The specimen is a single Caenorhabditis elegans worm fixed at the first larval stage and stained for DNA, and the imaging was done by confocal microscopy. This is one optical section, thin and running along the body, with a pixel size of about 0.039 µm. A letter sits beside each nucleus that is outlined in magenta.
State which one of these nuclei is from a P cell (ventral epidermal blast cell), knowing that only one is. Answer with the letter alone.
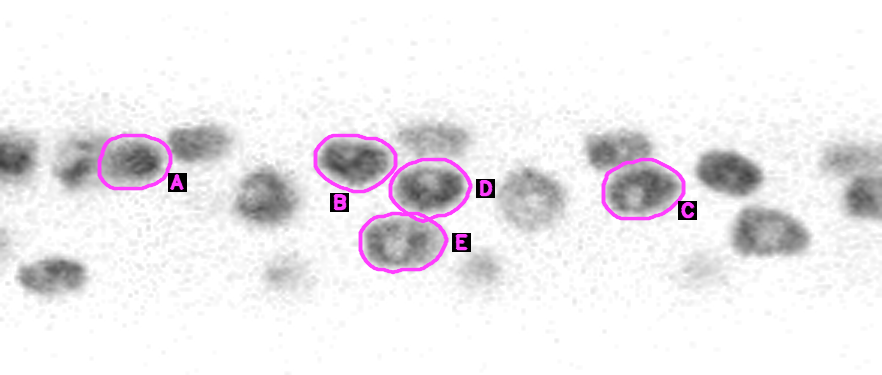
B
